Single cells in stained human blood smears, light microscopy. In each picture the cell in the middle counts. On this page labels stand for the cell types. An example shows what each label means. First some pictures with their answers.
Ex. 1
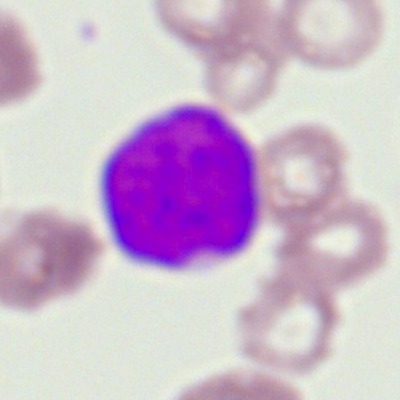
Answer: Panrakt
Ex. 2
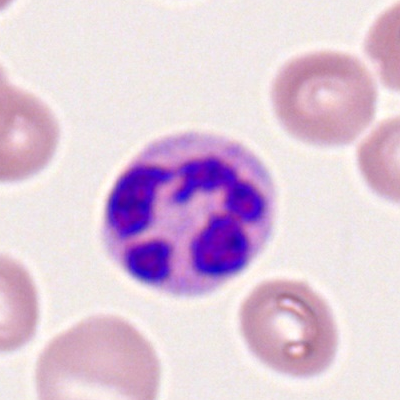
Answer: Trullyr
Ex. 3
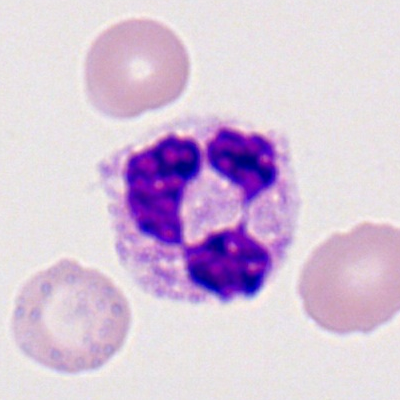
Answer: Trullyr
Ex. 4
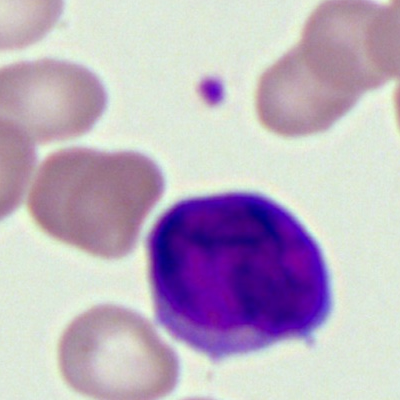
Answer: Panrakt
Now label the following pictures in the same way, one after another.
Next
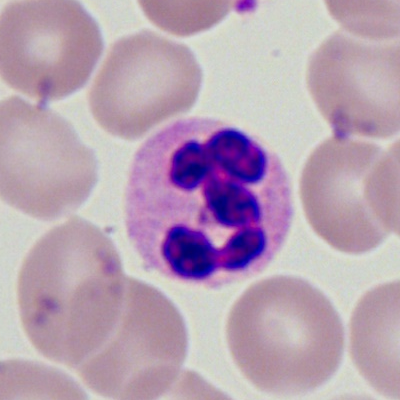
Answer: Trullyr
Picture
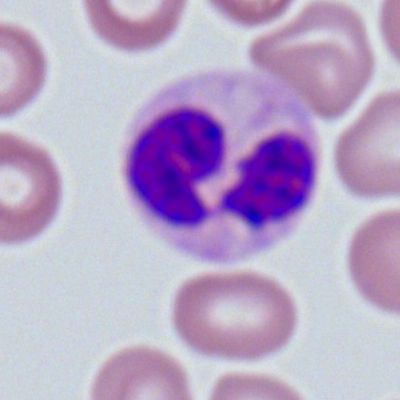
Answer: Trullyr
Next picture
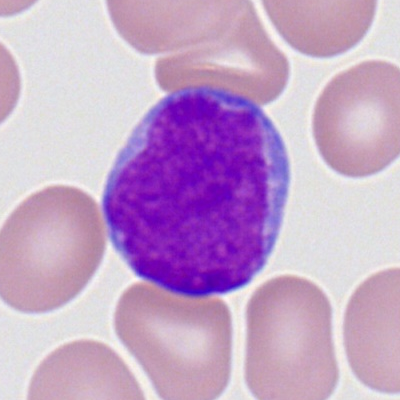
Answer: Panrakt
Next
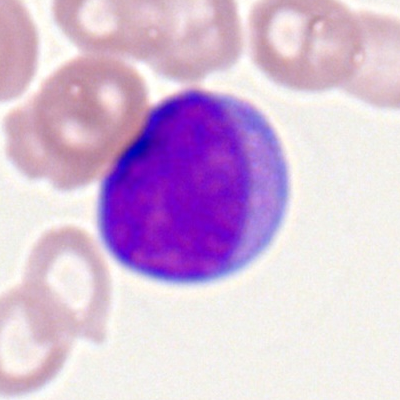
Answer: Panrakt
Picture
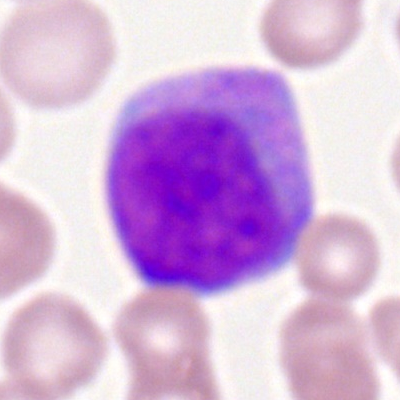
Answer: Panrakt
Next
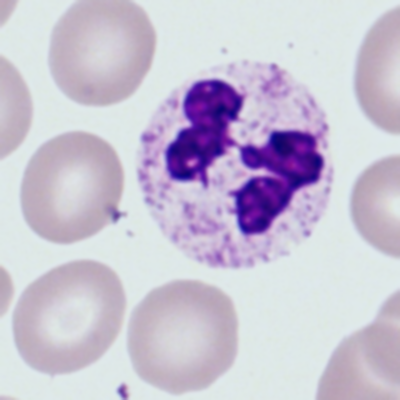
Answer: Trullyr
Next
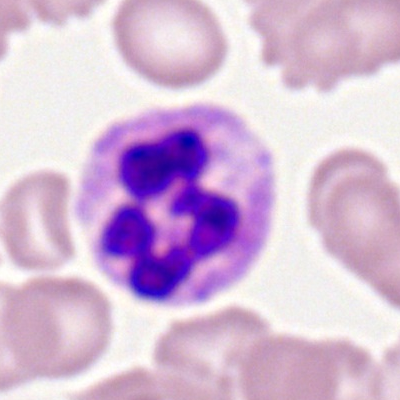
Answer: Trullyr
